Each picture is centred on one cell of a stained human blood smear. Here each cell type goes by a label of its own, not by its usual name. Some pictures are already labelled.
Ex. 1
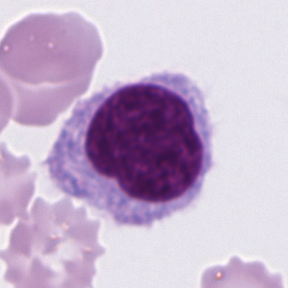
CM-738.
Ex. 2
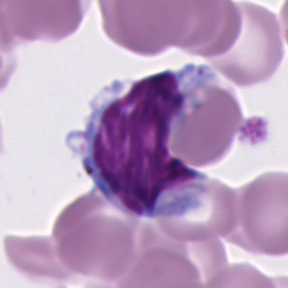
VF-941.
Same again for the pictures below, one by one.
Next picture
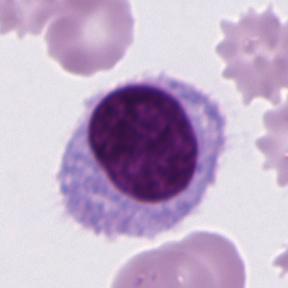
CM-738.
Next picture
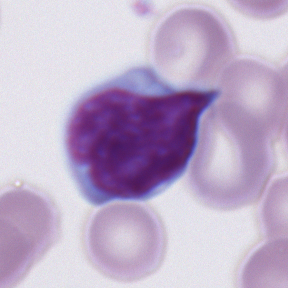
VF-941.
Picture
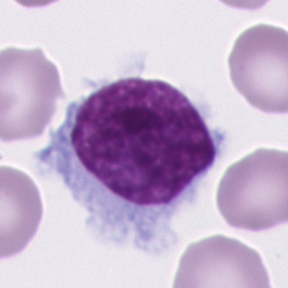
CM-738.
